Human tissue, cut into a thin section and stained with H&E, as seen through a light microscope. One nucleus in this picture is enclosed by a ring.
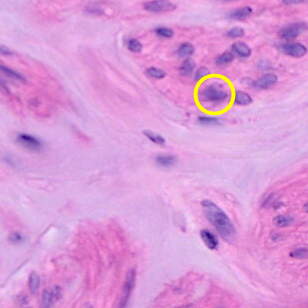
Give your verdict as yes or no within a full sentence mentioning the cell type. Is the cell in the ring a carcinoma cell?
No, the cell in the ring is regarded as a smooth muscle cell rather than a carcinoma cell.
